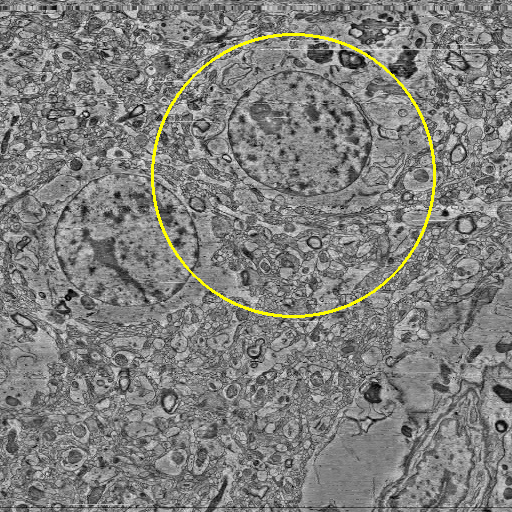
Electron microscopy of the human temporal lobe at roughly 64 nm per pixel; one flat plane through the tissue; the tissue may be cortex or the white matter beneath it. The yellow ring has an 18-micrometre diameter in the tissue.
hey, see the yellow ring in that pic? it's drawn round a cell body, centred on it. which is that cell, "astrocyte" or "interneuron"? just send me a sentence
The cell in the ring is an astrocyte.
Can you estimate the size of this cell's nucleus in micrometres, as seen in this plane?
About 9 micrometres across, as seen in this plane.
